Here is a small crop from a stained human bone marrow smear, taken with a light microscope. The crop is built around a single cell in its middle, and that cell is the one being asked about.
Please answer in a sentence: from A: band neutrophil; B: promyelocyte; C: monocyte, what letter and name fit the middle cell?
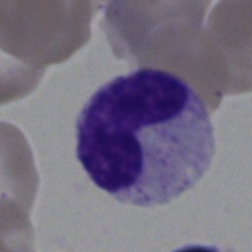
The middle cell of the crop is a band neutrophil; accordingly, option A is correct.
